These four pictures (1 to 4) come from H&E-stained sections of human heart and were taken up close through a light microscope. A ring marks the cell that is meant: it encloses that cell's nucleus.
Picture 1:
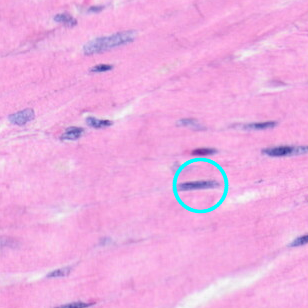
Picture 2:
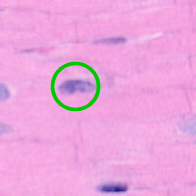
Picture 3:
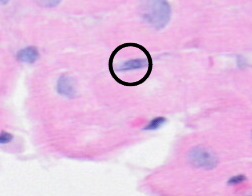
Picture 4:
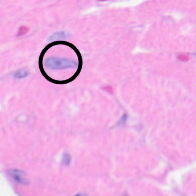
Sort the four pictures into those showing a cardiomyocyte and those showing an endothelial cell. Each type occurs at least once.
1: endothelial cell
2: endothelial cell
3: endothelial cell
4: cardiomyocyte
